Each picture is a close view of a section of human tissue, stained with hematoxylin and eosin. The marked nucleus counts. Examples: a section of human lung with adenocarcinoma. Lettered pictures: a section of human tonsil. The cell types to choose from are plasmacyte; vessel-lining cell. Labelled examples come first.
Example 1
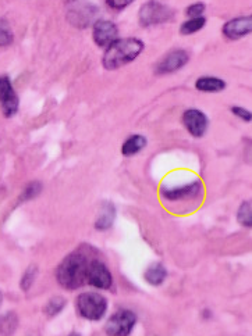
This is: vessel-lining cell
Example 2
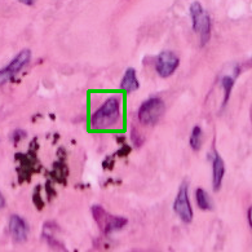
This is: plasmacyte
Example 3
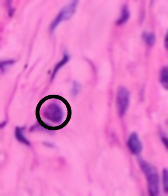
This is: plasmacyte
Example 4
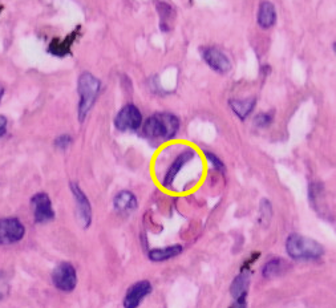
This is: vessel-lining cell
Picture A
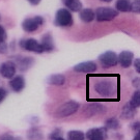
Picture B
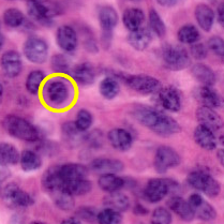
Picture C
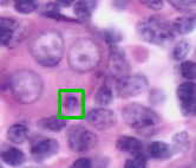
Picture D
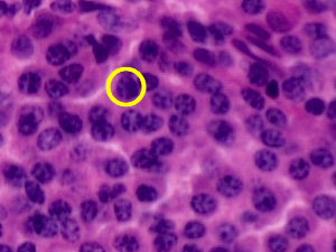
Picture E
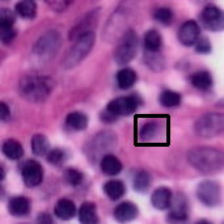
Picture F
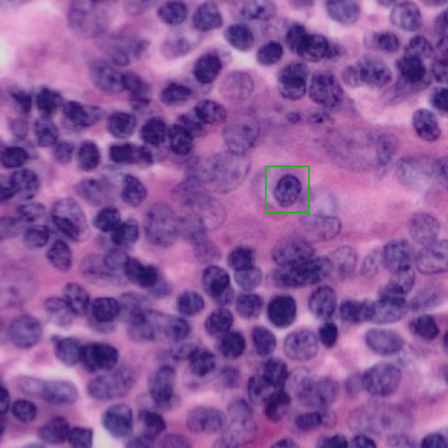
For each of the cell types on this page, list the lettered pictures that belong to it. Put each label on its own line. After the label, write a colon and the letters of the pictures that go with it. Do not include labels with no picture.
plasmacyte: B, D
vessel-lining cell: A, C, E, F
